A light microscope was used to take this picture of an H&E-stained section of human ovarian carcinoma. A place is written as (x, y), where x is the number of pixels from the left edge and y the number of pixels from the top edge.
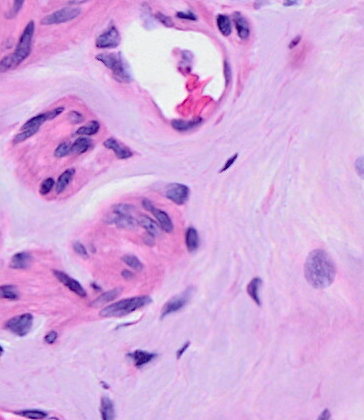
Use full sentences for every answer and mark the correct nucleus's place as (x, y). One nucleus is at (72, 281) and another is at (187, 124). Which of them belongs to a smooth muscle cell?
The nucleus positioned at (72, 281) is the one that belongs to a smooth muscle cell.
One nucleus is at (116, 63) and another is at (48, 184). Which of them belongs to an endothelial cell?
The nucleus at (116, 63) belongs to an endothelial cell, which distinguishes it from the other nucleus.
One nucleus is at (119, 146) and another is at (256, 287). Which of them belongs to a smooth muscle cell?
Of the two nuclei present, the one at (119, 146) is within a smooth muscle cell.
